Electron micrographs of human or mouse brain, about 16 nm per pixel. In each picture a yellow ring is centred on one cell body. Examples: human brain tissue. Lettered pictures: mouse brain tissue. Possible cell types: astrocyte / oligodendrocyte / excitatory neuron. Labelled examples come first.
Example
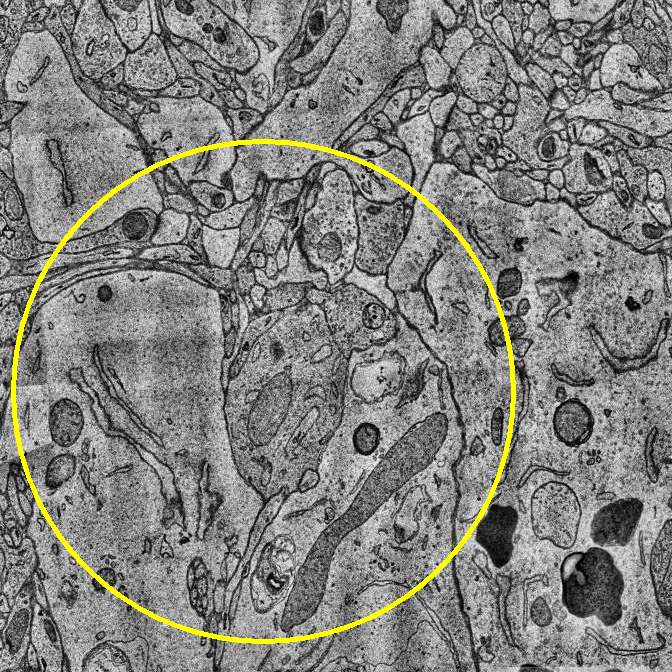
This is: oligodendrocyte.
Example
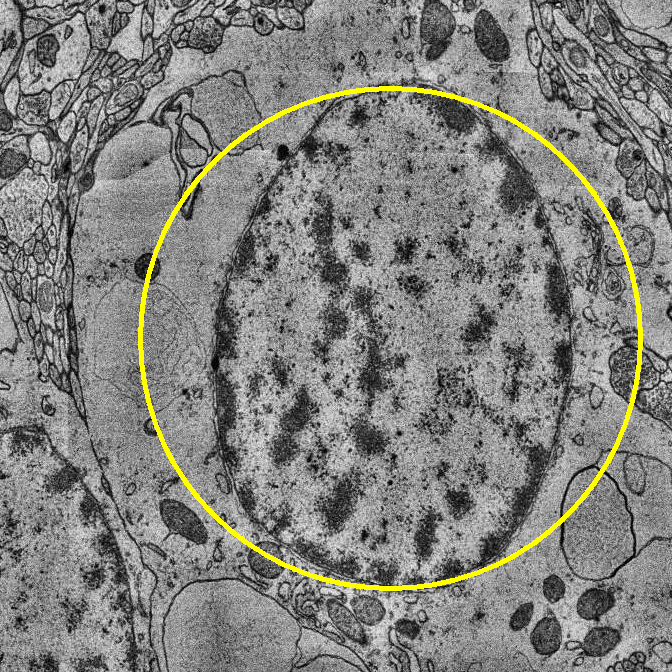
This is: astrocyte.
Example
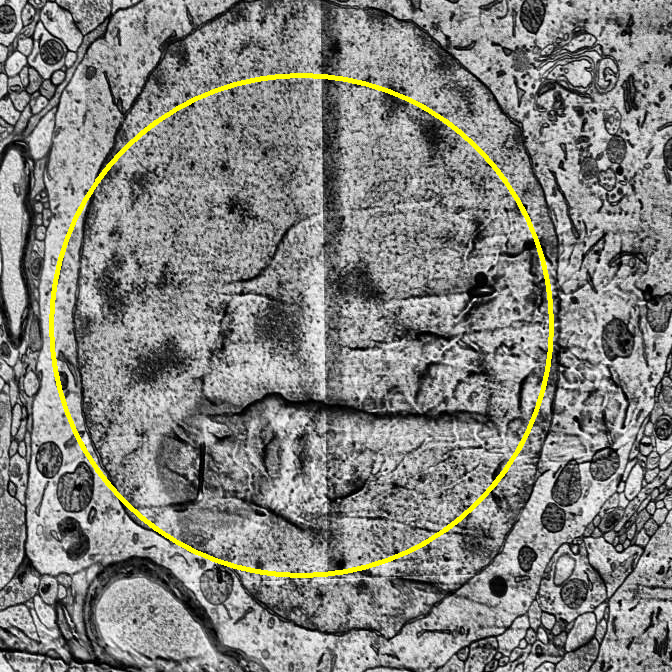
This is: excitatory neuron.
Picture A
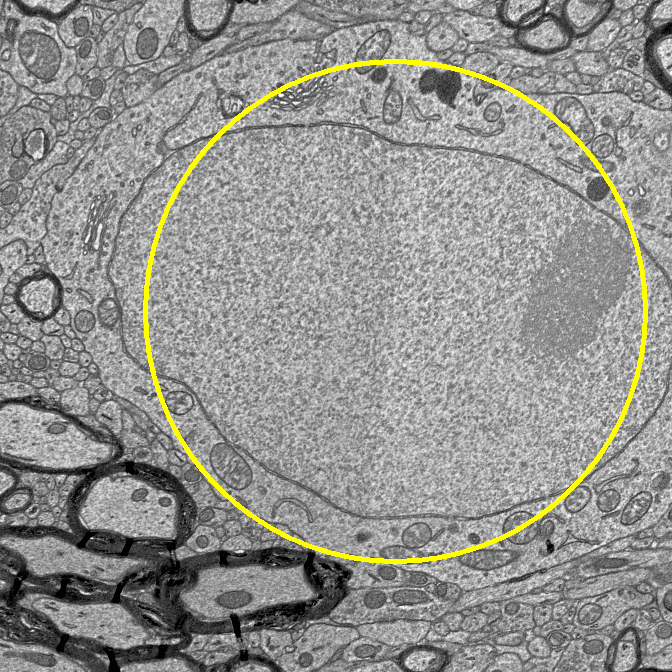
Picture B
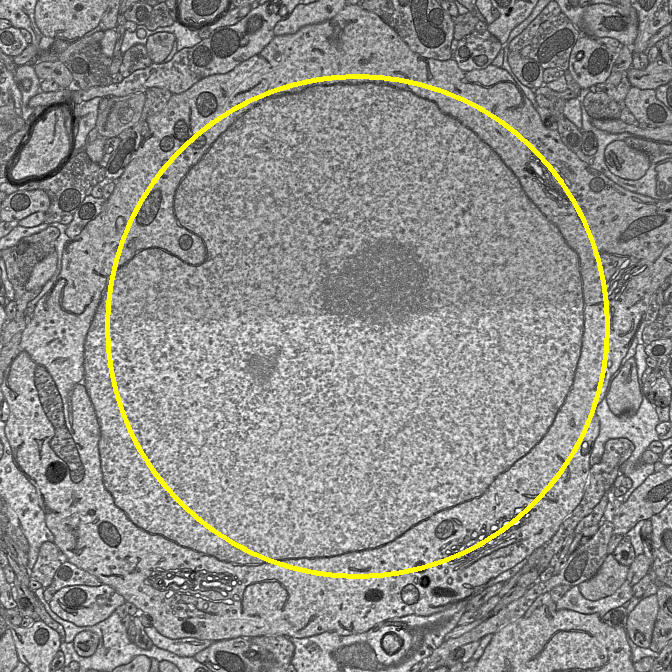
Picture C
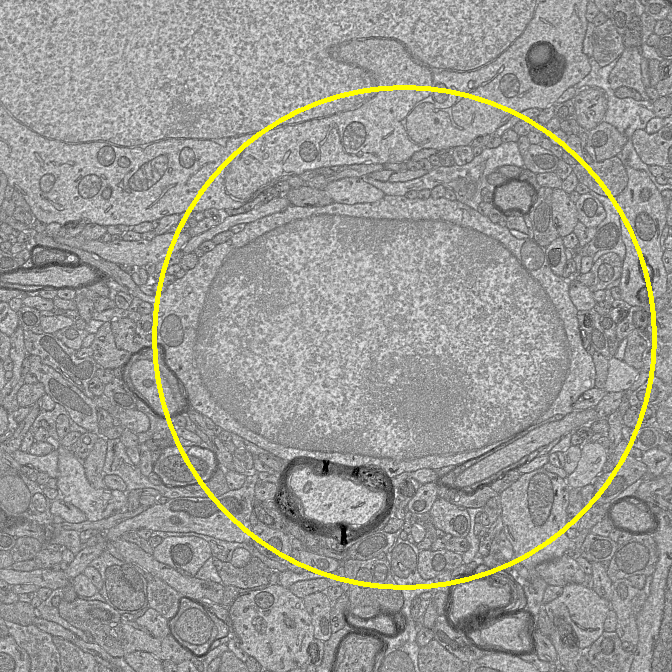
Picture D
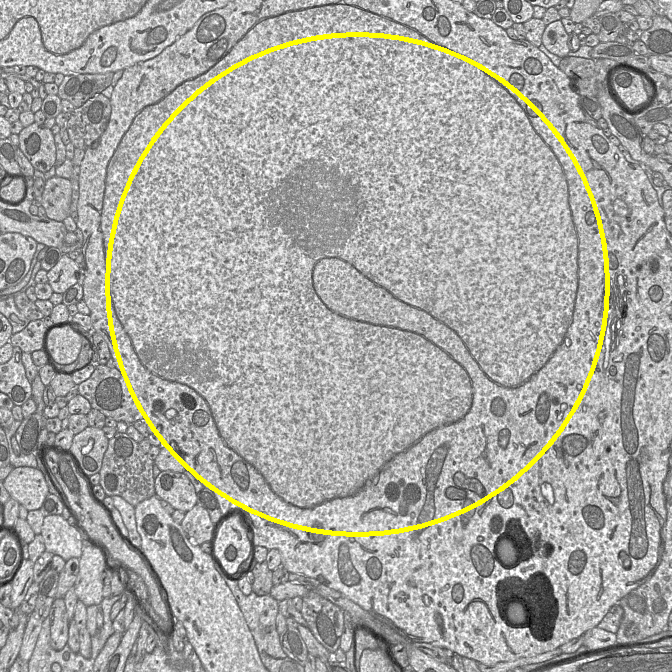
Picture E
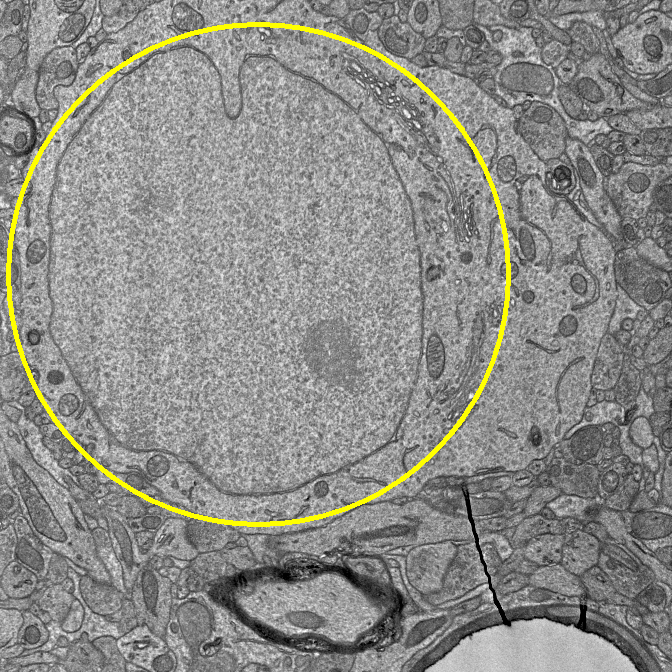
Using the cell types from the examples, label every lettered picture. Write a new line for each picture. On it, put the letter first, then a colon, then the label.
A: excitatory neuron.
B: excitatory neuron.
C: oligodendrocyte.
D: excitatory neuron.
E: excitatory neuron.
